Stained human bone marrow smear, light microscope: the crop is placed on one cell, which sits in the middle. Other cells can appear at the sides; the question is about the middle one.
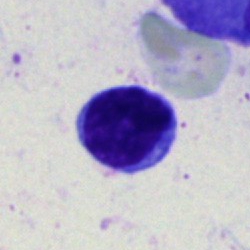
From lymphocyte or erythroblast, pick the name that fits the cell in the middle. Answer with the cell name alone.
lymphocyte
